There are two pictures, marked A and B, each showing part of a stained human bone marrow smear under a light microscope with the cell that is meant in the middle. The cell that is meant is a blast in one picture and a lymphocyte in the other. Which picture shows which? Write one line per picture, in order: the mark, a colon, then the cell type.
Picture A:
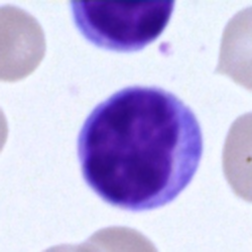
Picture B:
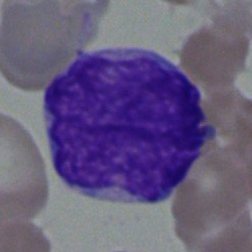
A: lymphocyte
B: blast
